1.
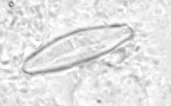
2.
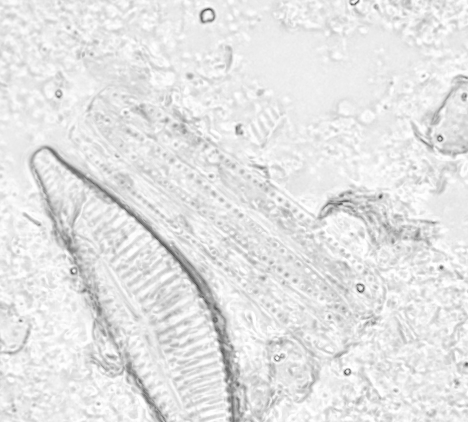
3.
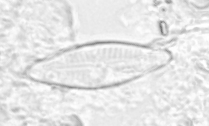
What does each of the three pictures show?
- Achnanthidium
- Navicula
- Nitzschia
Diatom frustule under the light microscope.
Picture 1: Achnanthidium
Picture 2: Nitzschia
Picture 3: Navicula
